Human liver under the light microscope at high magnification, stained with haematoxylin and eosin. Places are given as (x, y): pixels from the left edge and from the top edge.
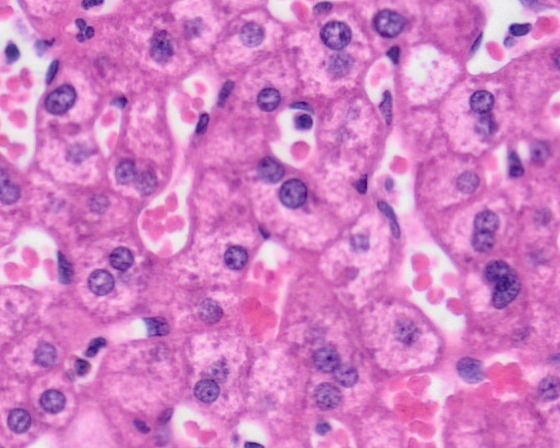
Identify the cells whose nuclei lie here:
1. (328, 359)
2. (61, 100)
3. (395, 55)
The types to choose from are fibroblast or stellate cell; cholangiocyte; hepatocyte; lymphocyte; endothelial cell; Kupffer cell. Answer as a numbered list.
1. hepatocyte
2. hepatocyte
3. fibroblast or stellate cell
